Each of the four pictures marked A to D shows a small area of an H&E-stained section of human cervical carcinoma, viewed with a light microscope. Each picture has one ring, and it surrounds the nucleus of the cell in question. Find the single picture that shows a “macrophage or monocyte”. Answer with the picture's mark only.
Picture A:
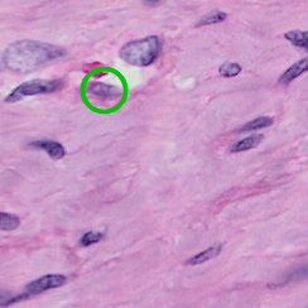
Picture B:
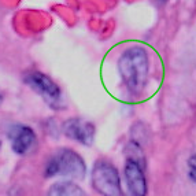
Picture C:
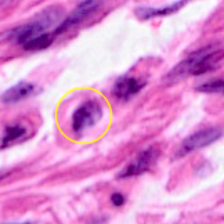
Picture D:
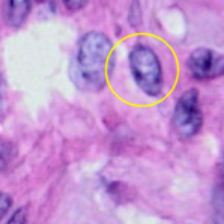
C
